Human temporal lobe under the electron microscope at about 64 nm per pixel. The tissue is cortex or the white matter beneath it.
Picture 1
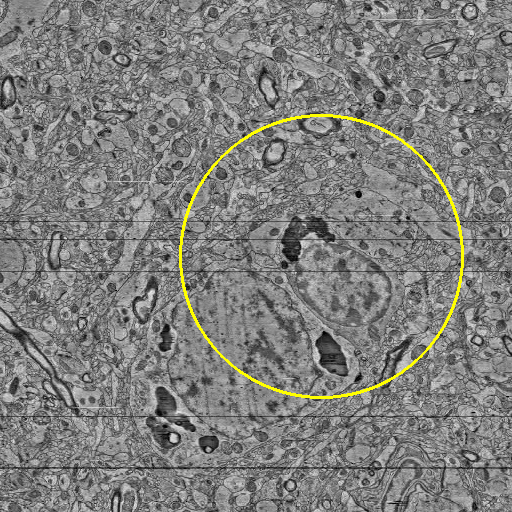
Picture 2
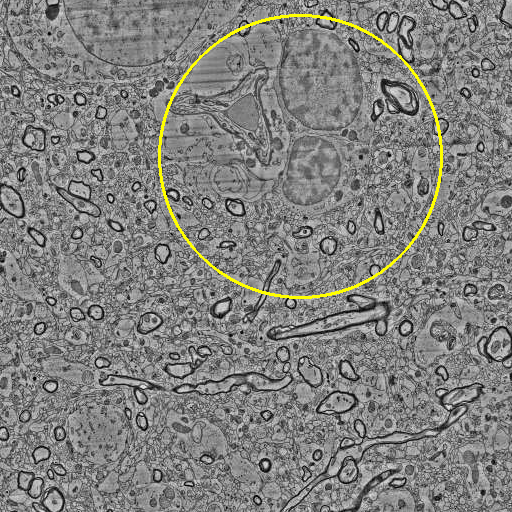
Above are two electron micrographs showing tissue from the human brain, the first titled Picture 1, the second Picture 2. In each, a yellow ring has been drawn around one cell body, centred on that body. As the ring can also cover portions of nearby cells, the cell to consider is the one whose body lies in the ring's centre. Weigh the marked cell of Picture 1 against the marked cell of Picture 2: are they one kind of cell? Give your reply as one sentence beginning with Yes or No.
Yes, the two cells sitting at the ring centres in the pictures are of one kind.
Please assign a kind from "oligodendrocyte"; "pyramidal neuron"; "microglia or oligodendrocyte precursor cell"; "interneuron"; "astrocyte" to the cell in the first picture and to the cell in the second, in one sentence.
The second cell is an oligodendrocyte, just as the first is.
